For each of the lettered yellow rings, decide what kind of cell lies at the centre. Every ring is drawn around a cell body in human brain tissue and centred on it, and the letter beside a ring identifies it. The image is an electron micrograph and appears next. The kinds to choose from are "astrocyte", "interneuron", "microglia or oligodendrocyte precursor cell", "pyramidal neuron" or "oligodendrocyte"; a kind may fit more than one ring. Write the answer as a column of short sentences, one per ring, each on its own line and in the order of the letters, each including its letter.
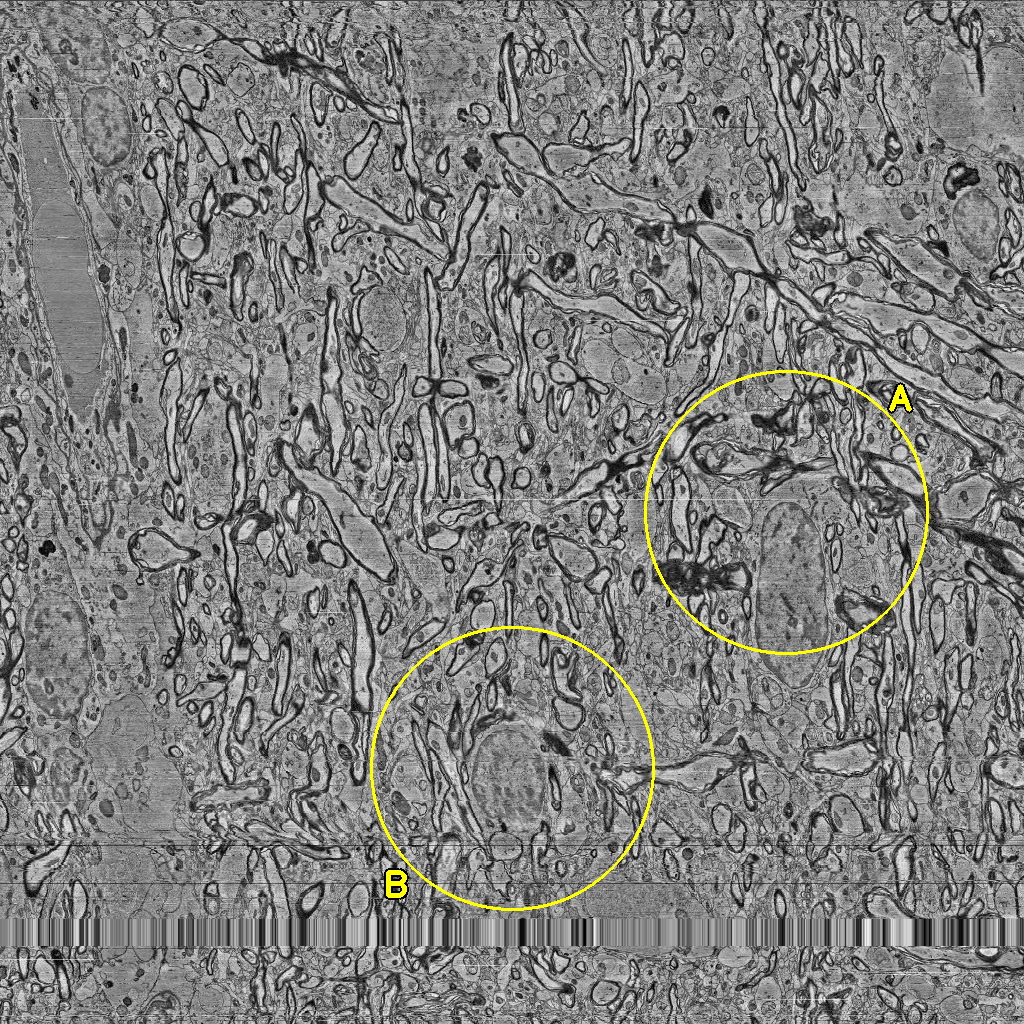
In the centre of ring A lies a microglial cell or oligodendrocyte precursor cell.
In the centre of ring B lies an oligodendrocyte.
